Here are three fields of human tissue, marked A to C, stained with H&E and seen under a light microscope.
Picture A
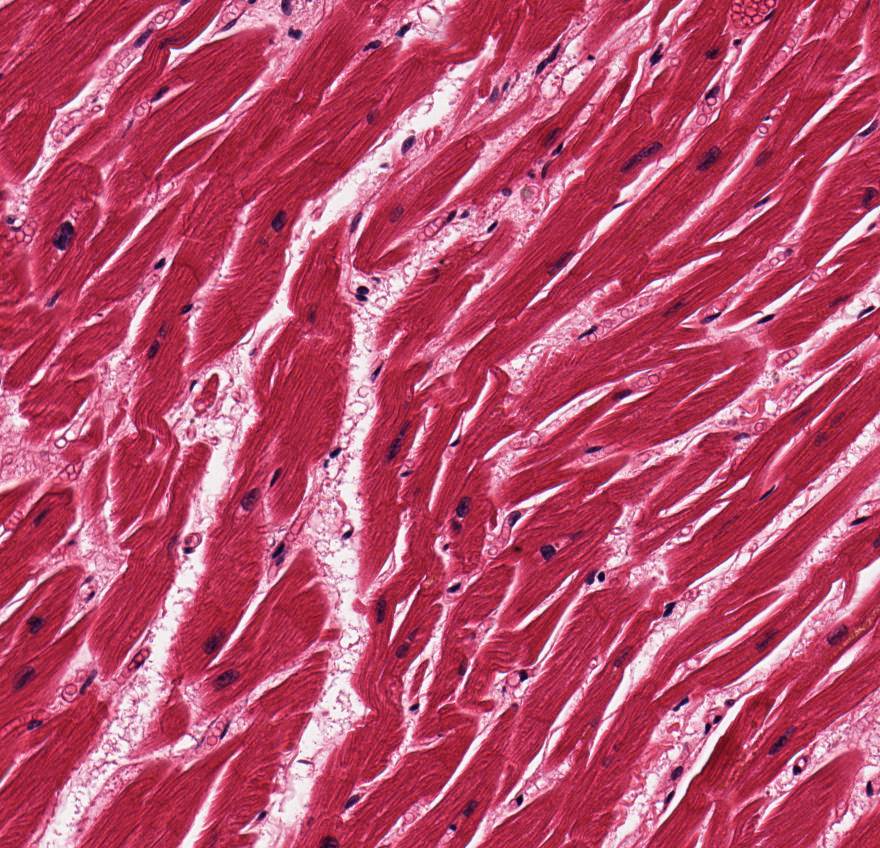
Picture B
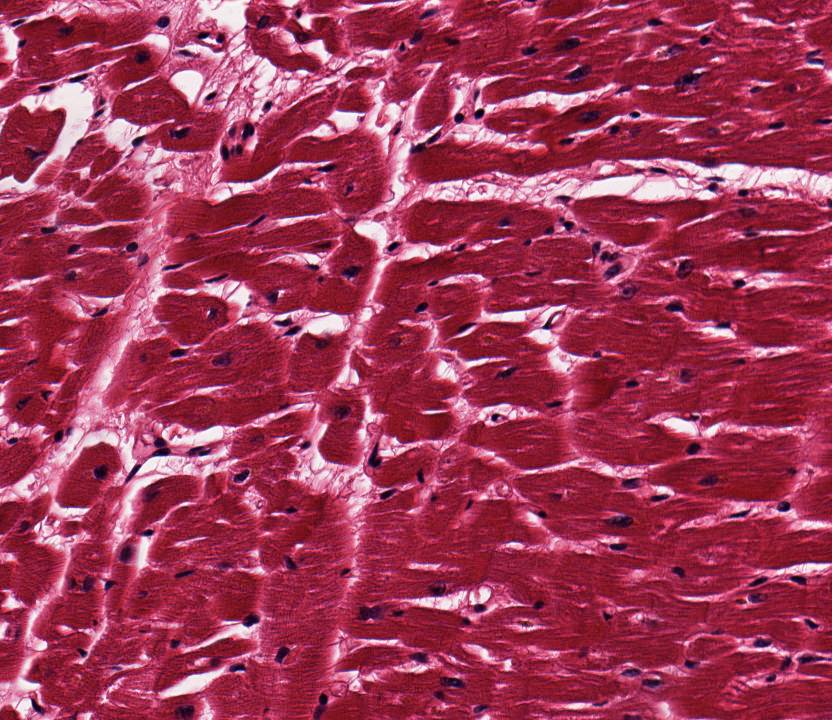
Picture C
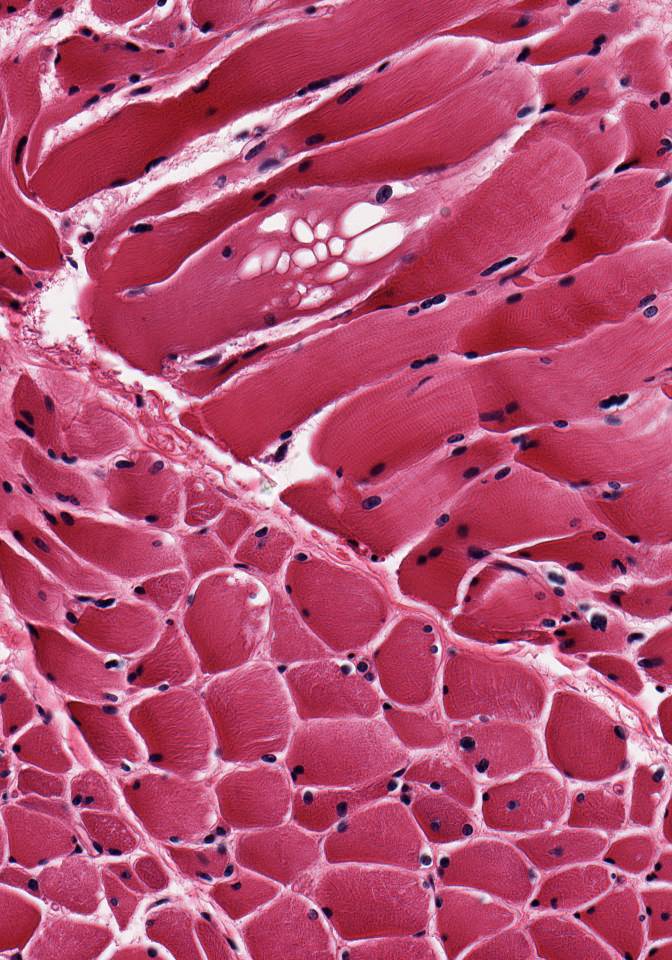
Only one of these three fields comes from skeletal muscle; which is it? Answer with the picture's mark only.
C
